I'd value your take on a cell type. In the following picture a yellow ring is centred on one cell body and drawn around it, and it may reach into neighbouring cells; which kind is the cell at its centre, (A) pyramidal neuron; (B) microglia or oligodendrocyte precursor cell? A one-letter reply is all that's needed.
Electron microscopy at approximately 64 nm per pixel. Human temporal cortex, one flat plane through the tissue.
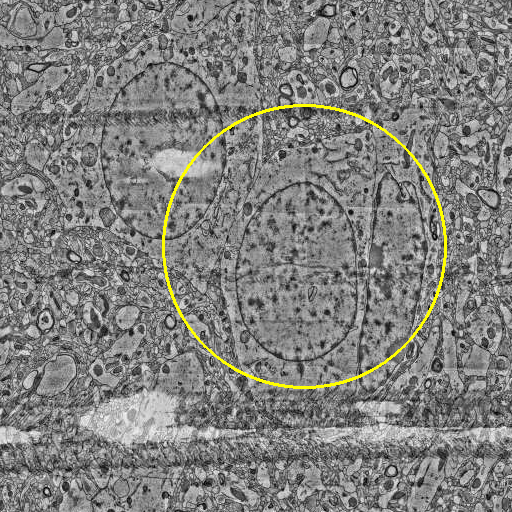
A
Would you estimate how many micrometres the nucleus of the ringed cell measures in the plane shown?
The nucleus appears roughly 11 by 8 micrometres in this plane.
